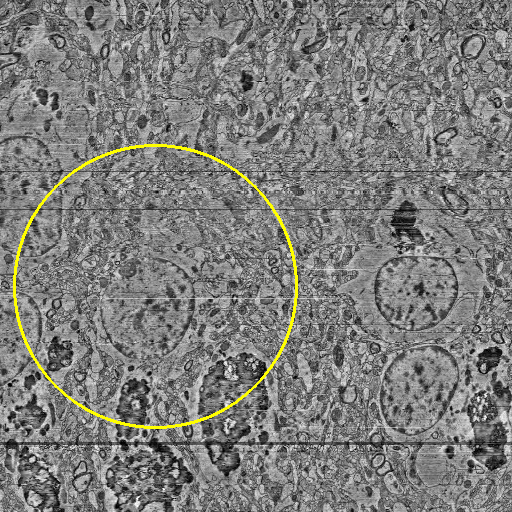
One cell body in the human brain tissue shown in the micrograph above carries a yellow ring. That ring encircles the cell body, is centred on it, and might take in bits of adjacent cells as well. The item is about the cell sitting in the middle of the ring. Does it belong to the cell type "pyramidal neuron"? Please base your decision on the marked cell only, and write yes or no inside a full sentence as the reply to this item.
No, the cell in the centre of the yellow ring belongs to a different kind.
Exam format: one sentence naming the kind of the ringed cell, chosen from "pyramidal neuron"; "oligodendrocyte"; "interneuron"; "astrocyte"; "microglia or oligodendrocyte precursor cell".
The cell ringed in the picture is an astrocyte.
